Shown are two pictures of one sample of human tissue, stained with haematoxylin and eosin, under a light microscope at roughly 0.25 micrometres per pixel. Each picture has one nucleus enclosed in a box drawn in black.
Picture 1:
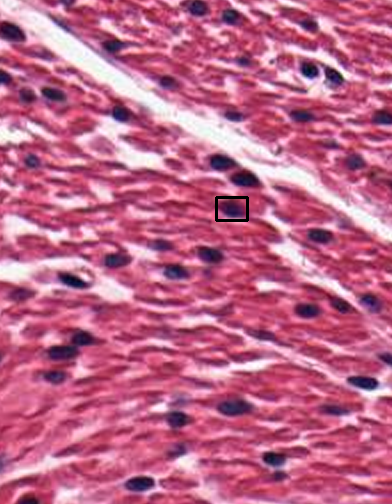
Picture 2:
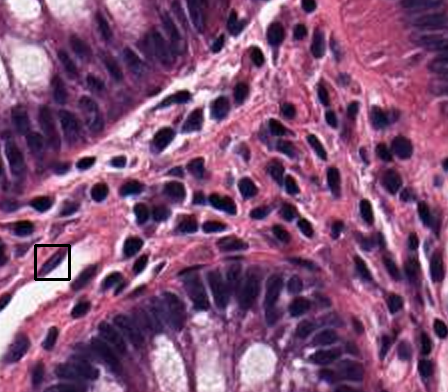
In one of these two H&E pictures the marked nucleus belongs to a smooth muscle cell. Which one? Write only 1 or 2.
1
